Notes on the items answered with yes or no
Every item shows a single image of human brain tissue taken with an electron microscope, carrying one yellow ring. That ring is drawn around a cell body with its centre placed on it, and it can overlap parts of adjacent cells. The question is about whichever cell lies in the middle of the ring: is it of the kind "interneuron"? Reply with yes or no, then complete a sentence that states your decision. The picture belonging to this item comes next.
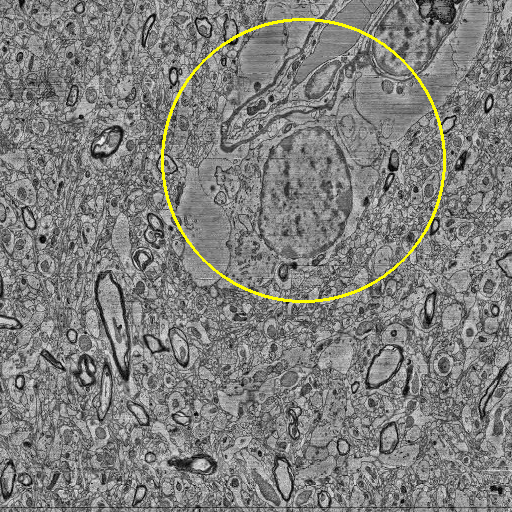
No, this micrograph shows a cell of another kind in the middle of the ring.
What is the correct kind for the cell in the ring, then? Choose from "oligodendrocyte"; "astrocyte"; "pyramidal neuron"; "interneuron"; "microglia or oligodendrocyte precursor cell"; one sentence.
The cell shown in the ring is a microglial cell or oligodendrocyte precursor cell.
